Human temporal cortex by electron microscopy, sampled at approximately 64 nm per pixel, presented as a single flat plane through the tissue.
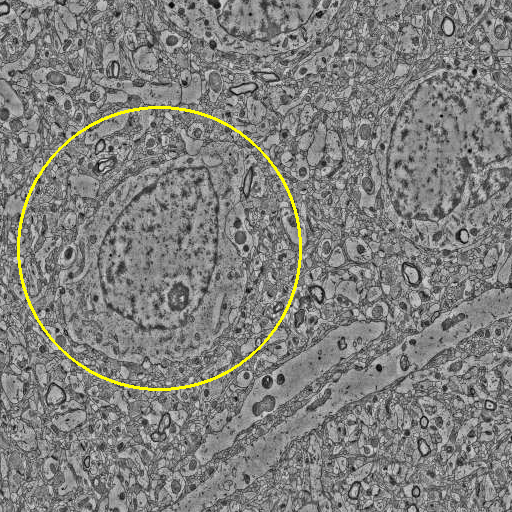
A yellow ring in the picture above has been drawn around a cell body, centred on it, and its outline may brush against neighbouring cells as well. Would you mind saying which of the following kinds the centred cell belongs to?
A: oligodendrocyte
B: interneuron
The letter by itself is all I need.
B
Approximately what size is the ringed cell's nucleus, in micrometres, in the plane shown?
In this plane the nucleus measures roughly 10 by 7 micrometers.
